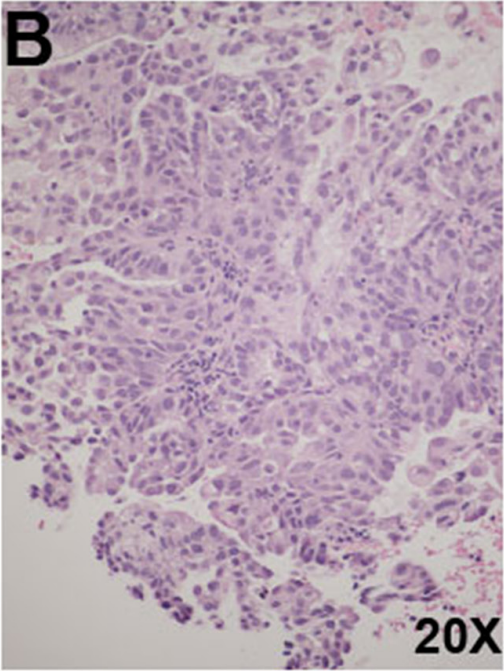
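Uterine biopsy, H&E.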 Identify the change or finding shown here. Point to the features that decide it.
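Cells are crowded with large purple nuclei.
Answer: high nucleus-to-cytoplasmic ratio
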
